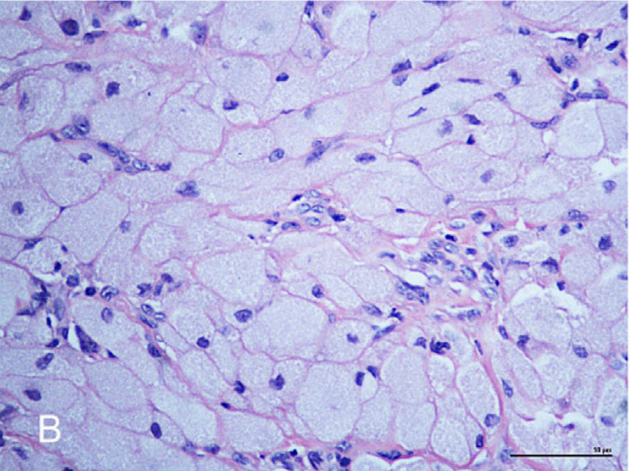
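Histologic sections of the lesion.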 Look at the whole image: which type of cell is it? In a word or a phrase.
Large polygonal cells.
